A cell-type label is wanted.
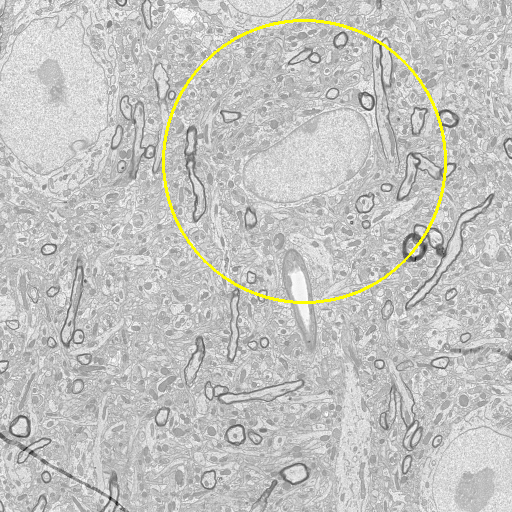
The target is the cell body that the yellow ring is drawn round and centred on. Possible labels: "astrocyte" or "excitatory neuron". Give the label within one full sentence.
Of the labels offered, the cell in the middle of the yellow ring is an astrocyte.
